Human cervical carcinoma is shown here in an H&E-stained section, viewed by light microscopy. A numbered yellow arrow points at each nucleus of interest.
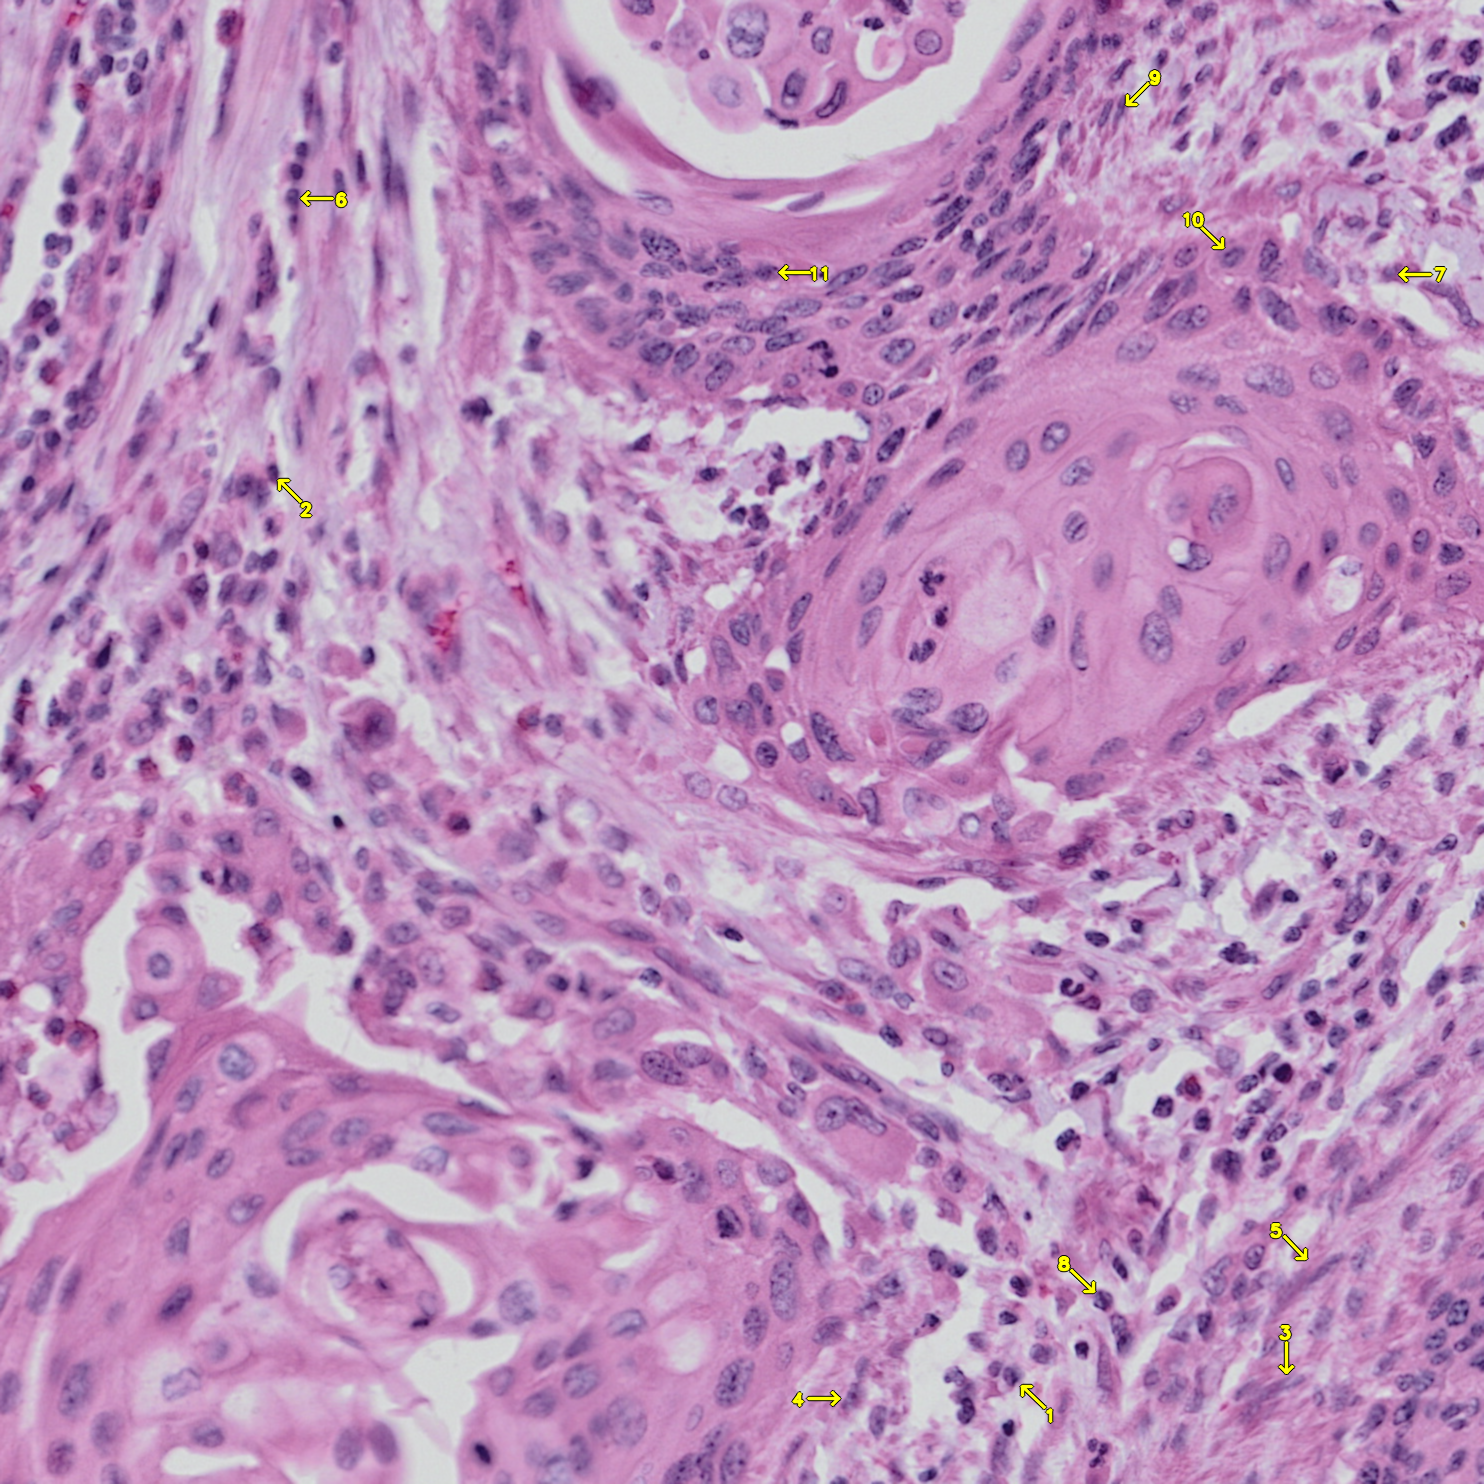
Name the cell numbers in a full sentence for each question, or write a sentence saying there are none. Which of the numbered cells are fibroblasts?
The cells marked by the numbers 3, 4, 5, 7 and 9 are fibroblasts.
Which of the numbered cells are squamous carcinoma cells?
The cells numbered 10 and 11 are, by type, squamous carcinoma cells.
